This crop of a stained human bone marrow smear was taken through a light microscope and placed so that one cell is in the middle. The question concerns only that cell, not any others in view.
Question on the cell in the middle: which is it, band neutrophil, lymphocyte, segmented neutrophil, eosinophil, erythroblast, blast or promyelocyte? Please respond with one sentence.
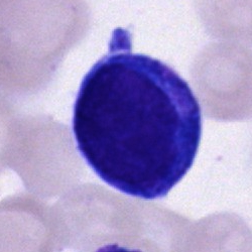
This particular crop is centered on a blast.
